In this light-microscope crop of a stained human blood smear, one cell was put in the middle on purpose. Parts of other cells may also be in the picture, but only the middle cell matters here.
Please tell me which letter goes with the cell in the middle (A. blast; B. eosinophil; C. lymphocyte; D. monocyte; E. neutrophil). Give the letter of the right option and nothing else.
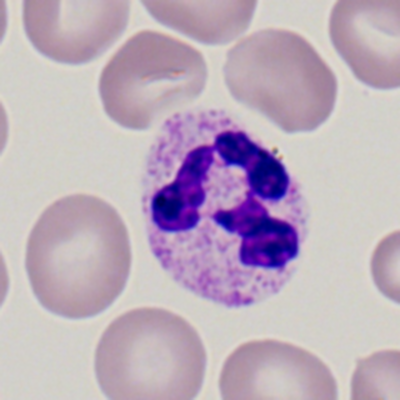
E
